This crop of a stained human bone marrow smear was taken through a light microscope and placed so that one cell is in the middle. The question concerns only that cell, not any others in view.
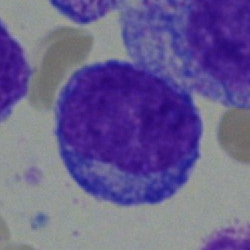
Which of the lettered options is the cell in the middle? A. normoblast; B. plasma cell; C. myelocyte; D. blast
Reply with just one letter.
D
